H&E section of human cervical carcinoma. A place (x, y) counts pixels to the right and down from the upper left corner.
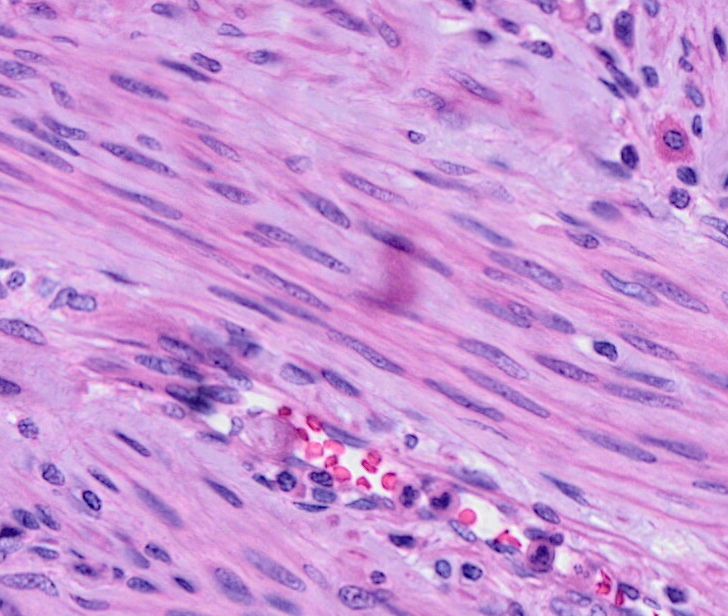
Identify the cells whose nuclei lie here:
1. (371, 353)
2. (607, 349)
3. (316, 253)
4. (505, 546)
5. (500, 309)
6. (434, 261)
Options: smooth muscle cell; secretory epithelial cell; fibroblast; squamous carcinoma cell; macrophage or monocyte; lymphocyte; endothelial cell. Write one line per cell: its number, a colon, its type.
1: smooth muscle cell
2: lymphocyte
3: smooth muscle cell
4: endothelial cell
5: smooth muscle cell
6: smooth muscle cell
